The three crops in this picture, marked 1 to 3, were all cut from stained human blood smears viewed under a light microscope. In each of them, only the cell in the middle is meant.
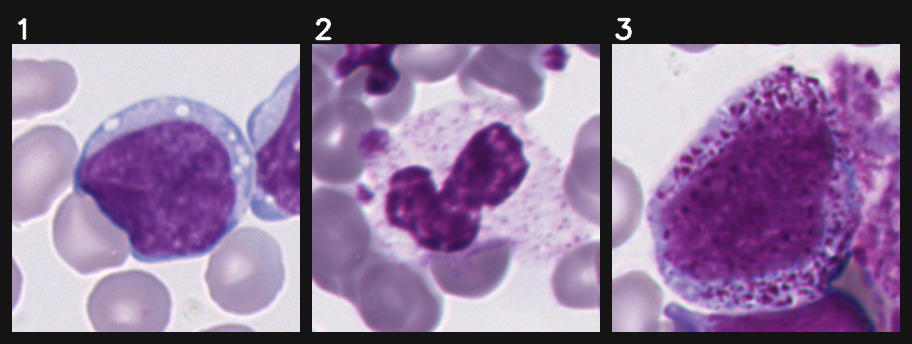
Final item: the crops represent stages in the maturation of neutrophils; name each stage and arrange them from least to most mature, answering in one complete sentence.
The maturation order, from least to most mature, is crop 1 (a myeloblast), crop 3 (a promyelocyte) and crop 2 (a band neutrophil).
